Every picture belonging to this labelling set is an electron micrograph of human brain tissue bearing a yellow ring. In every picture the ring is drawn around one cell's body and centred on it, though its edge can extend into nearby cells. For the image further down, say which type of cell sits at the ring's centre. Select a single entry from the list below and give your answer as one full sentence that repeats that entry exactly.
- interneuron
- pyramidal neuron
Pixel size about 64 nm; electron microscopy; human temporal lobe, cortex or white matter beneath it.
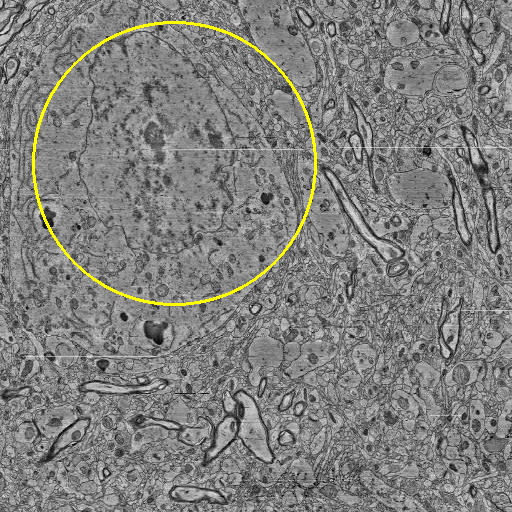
In the picture, a pyramidal neuron is the cell at the centre of the yellow ring.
